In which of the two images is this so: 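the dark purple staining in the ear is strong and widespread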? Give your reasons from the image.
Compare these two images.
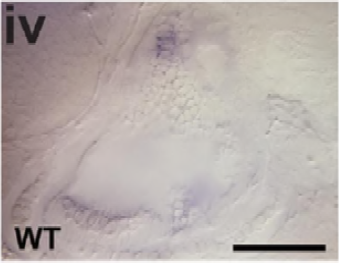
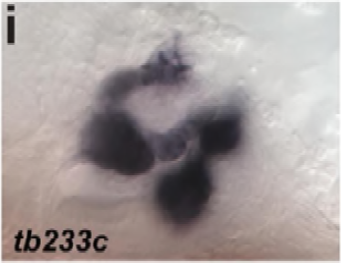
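First image: only faint purple staining, a small patch at the top. Second image: large, intensely dark purple lobes filling the centre of the ear. On this evidence: the second image.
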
